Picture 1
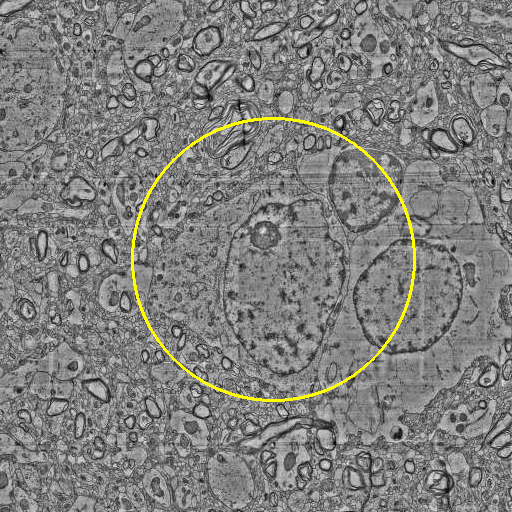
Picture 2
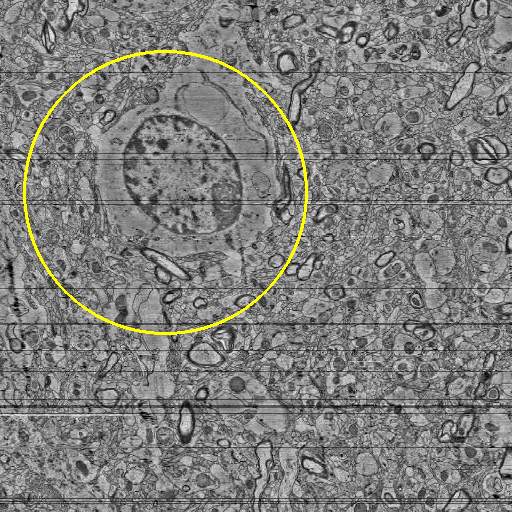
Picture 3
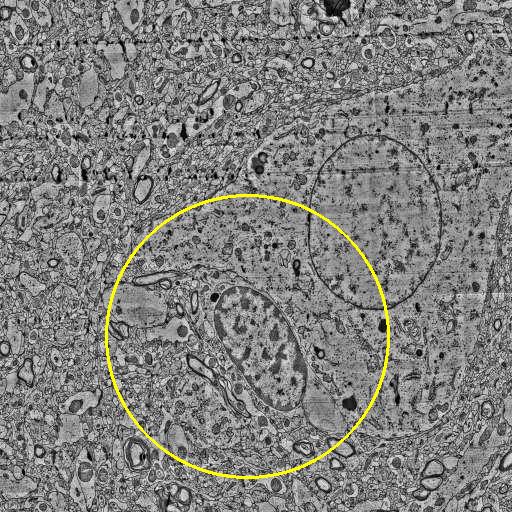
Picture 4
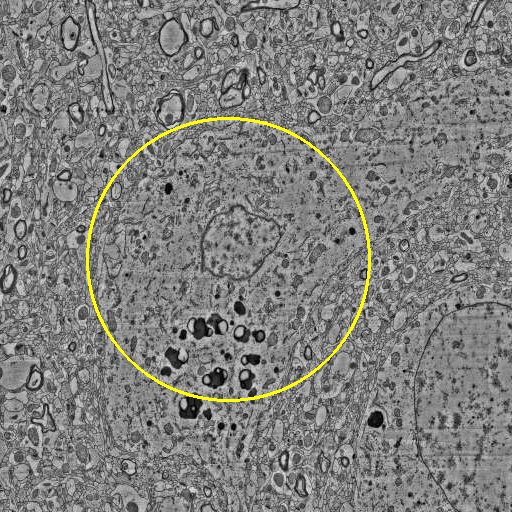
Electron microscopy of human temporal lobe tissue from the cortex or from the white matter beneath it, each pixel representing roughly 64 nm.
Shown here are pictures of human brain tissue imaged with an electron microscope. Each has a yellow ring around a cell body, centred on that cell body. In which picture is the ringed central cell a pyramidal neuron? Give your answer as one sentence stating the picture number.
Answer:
My answer is picture 4, where the ringed cell at the centre is the one sought.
